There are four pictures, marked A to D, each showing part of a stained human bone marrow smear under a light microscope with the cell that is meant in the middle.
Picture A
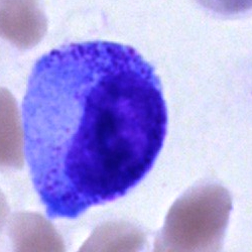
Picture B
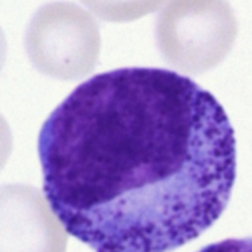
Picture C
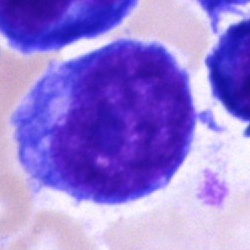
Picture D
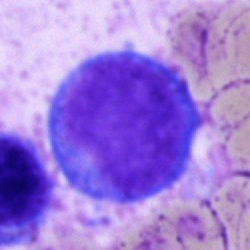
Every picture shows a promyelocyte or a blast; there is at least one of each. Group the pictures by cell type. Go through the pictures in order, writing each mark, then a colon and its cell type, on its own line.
A: promyelocyte
B: promyelocyte
C: blast
D: blast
